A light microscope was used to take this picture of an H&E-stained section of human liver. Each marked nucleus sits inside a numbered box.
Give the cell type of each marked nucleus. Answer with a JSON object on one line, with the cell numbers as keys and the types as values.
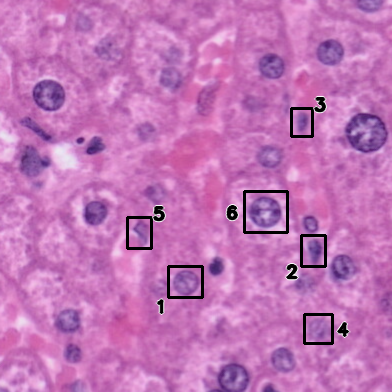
{"1": "hepatocyte", "2": "fibroblast or stellate cell", "3": "lymphocyte", "4": "hepatocyte", "5": "endothelial cell", "6": "hepatocyte"}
